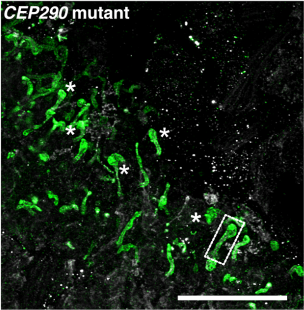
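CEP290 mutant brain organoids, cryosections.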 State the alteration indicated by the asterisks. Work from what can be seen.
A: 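Marked green structures have swollen bulbous or looped ends. They are wider and more irregular than the thin rods around them. On this evidence: abnormal cilia.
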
